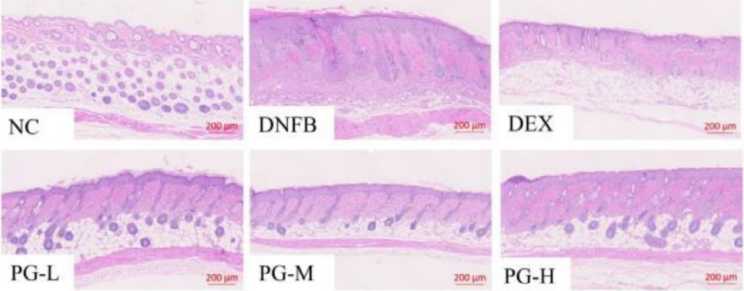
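These are sections of skin stained pink and purple, with a darker purple epidermis along the surface and dermis beneath containing many round cross-sections of hair follicles. In several sections the epidermis and upper dermis are much thicker and more densely purple, with downward projections into the dermis. Fewer follicle cross-sections appear in these sections than in the thinnest one.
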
